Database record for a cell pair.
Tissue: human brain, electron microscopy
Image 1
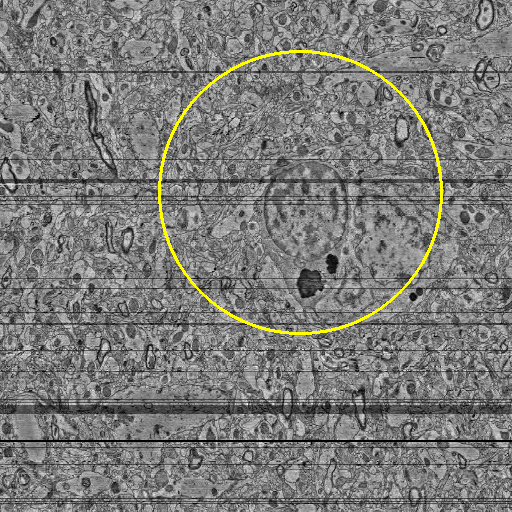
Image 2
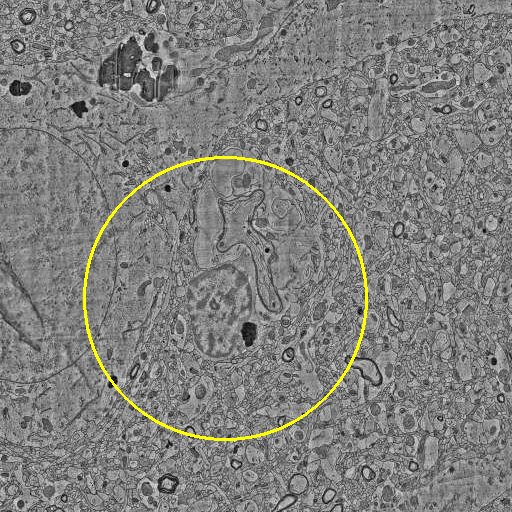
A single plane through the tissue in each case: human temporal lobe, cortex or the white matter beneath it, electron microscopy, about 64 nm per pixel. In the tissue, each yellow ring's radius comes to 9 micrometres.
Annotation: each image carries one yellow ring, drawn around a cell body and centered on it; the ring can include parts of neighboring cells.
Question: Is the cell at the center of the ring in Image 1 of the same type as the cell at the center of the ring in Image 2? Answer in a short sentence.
Yes, the cells are of the same type.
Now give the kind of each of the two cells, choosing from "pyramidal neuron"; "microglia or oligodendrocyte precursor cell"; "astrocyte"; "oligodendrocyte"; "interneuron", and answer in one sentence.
Each of the two cells is an oligodendrocyte.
